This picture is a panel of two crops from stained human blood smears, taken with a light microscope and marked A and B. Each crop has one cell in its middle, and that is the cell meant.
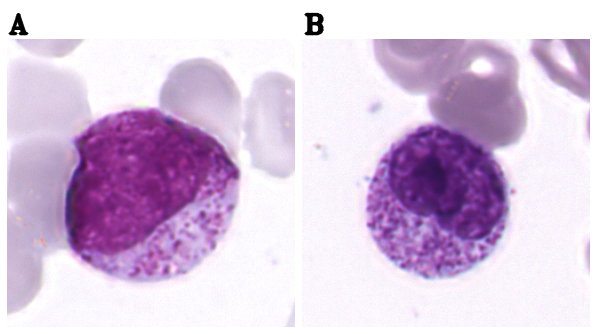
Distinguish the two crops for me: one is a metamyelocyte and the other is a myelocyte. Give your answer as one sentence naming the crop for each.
As for the pair, crop A is a myelocyte and crop B is a metamyelocyte.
